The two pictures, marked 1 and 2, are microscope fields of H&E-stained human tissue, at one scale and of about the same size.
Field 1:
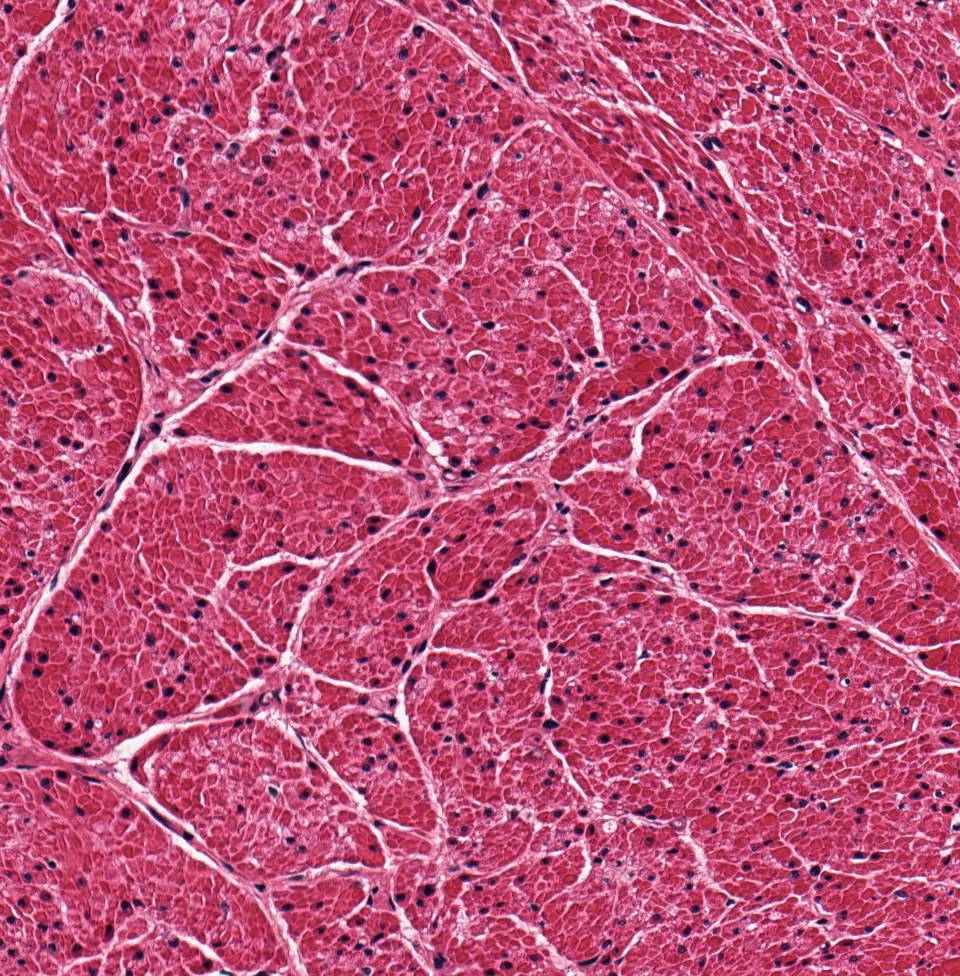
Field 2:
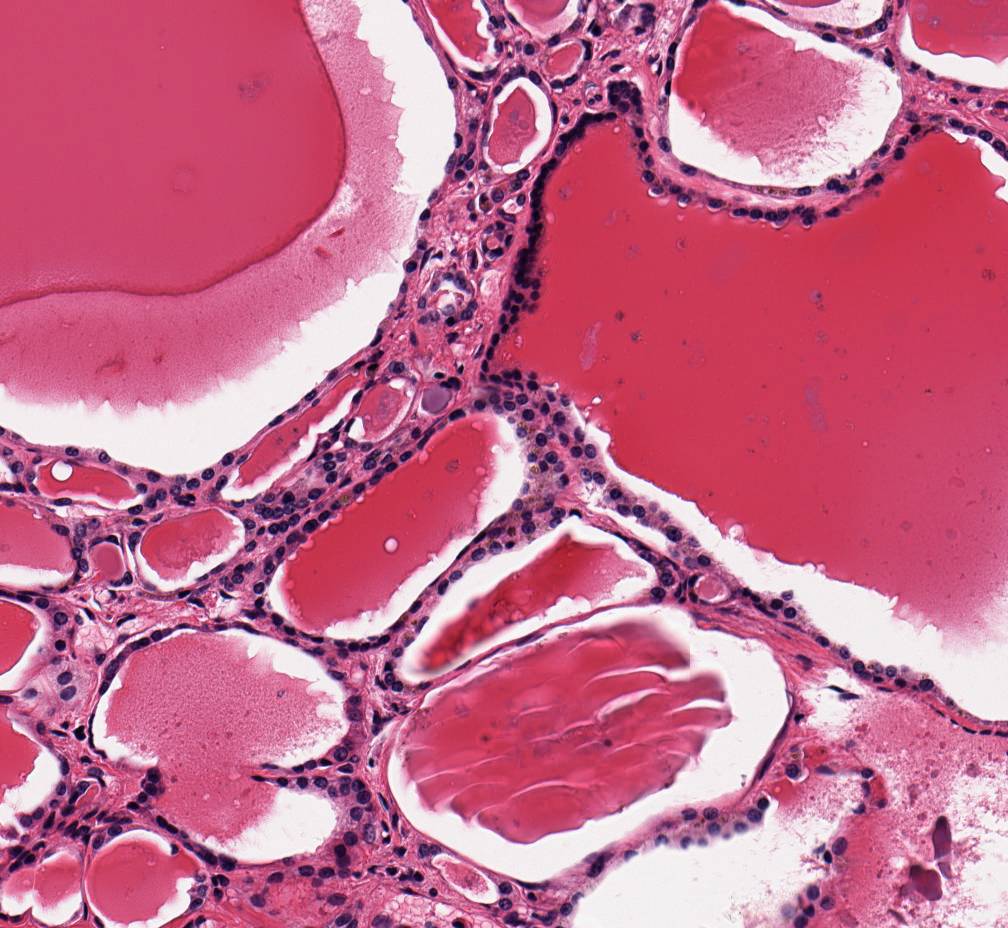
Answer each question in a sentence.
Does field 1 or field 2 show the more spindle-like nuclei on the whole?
Longer, more slender nuclei lie in field 2.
